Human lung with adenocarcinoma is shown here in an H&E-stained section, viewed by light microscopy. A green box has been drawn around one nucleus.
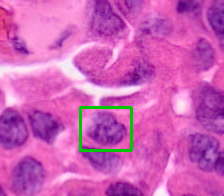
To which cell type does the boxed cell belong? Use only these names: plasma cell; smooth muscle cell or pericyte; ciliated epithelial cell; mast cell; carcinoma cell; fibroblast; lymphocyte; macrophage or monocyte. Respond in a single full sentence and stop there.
The correct response here is that the boxed cell is a carcinoma cell.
